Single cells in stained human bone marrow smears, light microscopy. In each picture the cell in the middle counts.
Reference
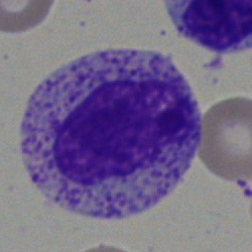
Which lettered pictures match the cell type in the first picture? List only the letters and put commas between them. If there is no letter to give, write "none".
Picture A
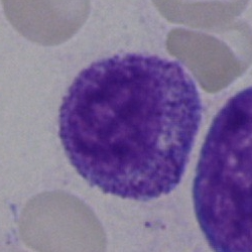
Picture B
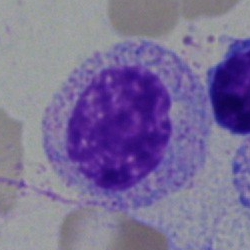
A, B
